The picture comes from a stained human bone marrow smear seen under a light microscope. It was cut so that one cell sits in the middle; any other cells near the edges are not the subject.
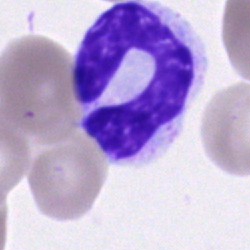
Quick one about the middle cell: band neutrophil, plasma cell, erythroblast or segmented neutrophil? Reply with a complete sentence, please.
Whatever else lies nearby, the middle cell is a band neutrophil.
